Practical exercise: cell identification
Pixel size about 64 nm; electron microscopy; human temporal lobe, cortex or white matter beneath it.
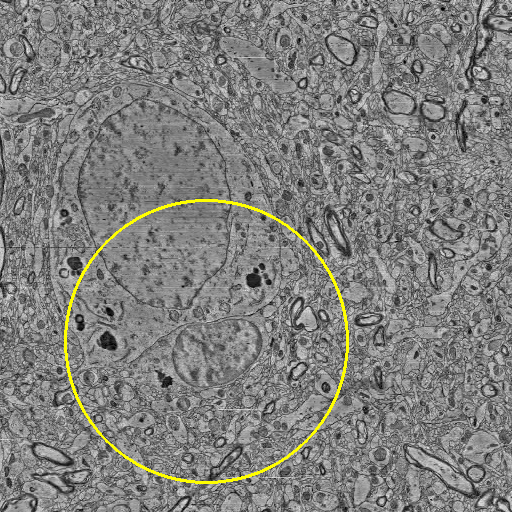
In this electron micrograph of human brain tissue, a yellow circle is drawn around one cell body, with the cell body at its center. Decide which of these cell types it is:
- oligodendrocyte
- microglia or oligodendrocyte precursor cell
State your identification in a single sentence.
The ringed cell is an oligodendrocyte.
